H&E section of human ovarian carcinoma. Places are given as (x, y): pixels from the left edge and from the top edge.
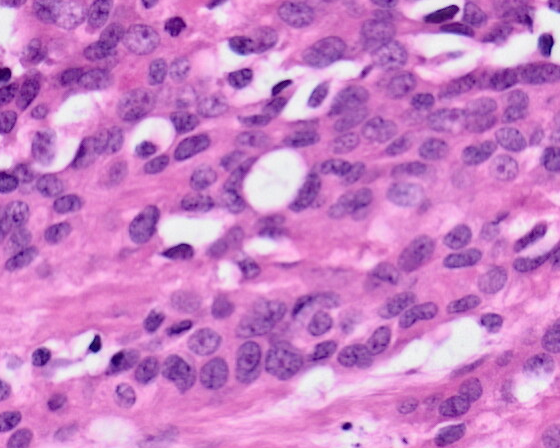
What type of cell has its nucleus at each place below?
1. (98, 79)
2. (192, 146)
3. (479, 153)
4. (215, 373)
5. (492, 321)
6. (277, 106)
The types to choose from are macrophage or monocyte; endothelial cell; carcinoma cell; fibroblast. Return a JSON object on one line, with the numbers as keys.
{"1": "carcinoma cell", "2": "carcinoma cell", "3": "macrophage or monocyte", "4": "carcinoma cell", "5": "macrophage or monocyte", "6": "carcinoma cell"}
